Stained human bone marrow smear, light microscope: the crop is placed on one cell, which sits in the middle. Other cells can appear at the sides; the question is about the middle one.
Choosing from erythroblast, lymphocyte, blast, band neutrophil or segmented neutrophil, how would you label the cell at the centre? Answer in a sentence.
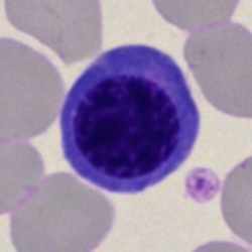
What the crop centres on is an erythroblast.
